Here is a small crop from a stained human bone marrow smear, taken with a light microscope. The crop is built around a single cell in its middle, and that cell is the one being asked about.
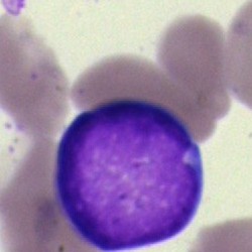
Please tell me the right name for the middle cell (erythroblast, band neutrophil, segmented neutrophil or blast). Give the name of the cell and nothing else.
blast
